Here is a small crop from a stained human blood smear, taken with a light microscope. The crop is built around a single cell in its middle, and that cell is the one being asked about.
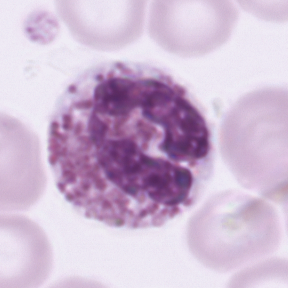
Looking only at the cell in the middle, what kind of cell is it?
eosinophil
